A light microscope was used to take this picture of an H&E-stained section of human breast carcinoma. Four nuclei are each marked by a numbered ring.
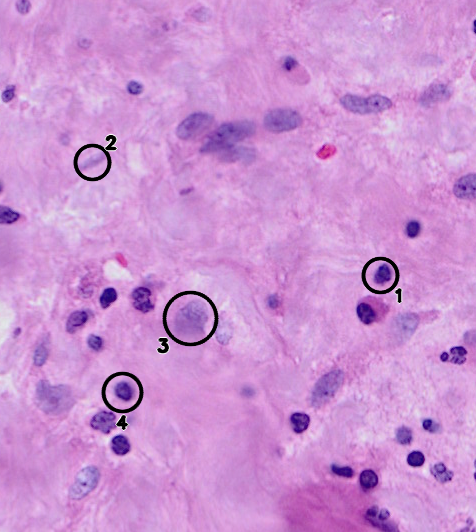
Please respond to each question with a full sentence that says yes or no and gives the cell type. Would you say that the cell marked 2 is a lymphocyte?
No, it is a fibroblast, rather than a lymphocyte, that carries number 2.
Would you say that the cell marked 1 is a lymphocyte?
Yes, the cell with the number 1 is a lymphocyte.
